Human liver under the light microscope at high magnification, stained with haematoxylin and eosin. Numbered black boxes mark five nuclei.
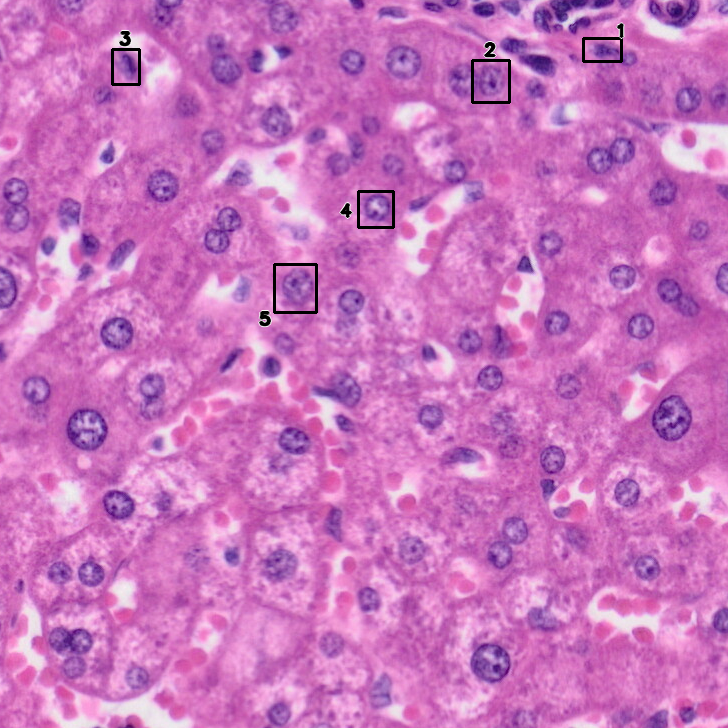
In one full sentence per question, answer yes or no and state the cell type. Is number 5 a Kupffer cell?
No, cell number 5 is a hepatocyte; it is not a Kupffer cell.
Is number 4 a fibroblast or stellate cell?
No, a hepatocyte is what cell 4 is, not a fibroblast or stellate cell.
